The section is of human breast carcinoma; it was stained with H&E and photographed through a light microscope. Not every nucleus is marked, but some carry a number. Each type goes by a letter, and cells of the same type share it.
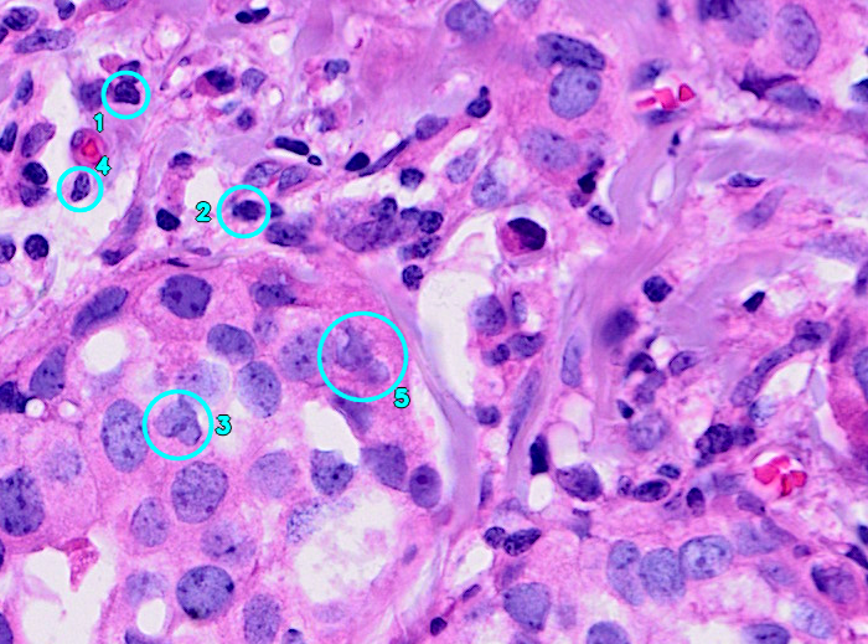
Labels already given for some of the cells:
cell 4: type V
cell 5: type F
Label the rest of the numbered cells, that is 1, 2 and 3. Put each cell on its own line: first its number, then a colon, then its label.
1: type V
2: type V
3: type F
